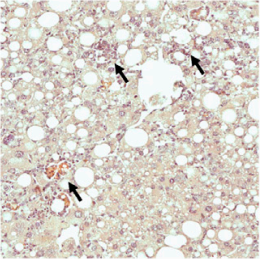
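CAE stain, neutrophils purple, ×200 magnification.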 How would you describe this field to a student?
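This is liver parenchyma in which many hepatocytes contain clear, round, empty-looking vacuoles of widely varying size, some large enough to fill much of a cell. Between the vacuolated areas the hepatocytes are polygonal with round nuclei and pinkish cytoplasm. A vessel lumen is seen in the upper middle of the field.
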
